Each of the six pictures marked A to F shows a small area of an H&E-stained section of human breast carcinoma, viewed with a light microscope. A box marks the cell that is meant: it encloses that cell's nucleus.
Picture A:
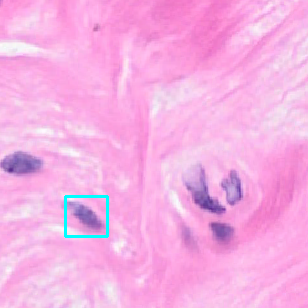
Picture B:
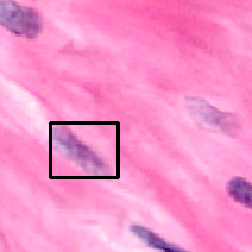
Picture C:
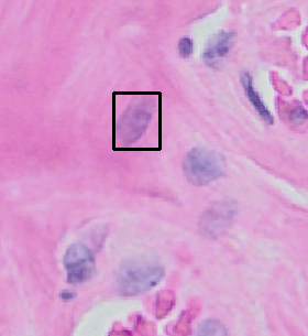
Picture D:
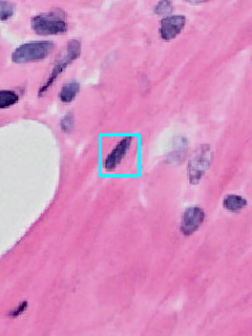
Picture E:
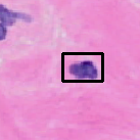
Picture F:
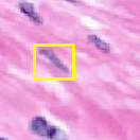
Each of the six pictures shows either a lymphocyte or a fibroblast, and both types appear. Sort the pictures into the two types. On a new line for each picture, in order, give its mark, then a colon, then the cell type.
A: fibroblast
B: fibroblast
C: fibroblast
D: lymphocyte
E: lymphocyte
F: fibroblast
